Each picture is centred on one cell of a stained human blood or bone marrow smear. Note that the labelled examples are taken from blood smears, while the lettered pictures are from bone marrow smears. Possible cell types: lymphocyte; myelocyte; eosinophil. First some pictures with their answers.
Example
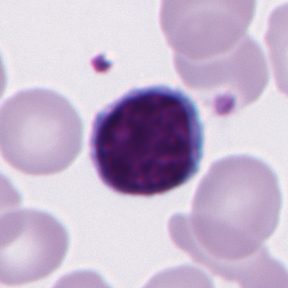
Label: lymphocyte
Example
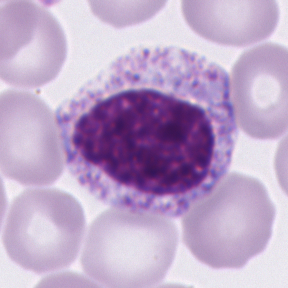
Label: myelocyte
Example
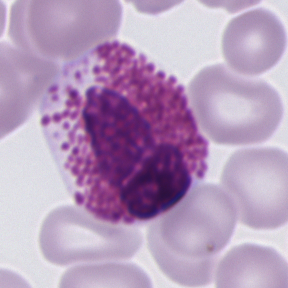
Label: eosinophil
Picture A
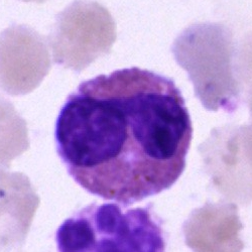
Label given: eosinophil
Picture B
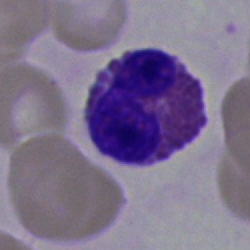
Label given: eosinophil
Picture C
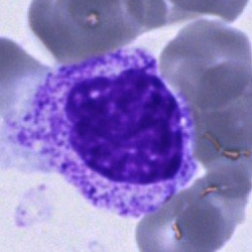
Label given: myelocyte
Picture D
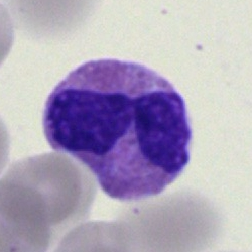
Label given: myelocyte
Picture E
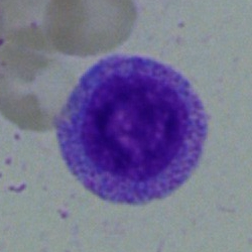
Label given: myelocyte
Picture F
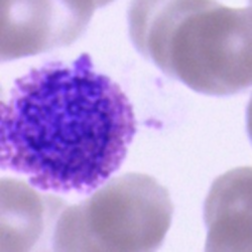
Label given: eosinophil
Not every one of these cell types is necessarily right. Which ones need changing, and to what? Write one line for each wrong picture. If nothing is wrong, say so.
D: change myelocyte to eosinophil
